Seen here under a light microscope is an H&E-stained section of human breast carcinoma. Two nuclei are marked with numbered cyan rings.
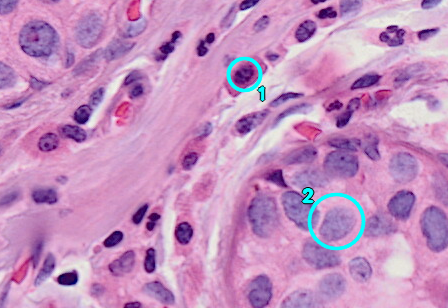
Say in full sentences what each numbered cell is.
Cell 1 is a mast cell. Cell 2 is a carcinoma cell.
